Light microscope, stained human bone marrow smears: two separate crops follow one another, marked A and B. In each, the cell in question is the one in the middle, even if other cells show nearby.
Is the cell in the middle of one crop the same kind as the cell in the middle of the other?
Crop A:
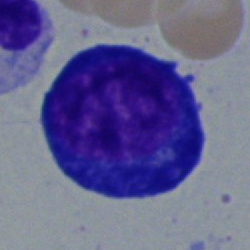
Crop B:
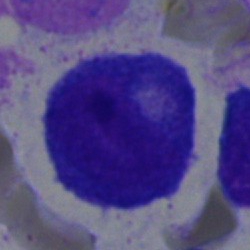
no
